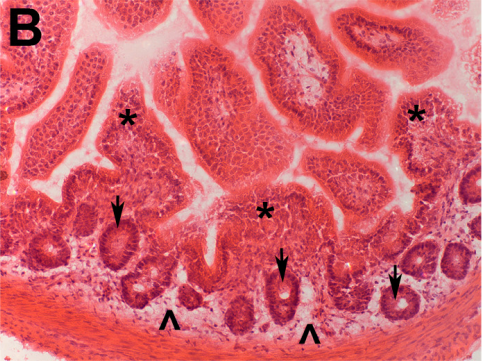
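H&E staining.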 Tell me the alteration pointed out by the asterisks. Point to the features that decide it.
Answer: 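The marked villi are short and broad. Their tips are rounded and club-like rather than slender and finger-like.
Conclusion: Shortened and blunted villi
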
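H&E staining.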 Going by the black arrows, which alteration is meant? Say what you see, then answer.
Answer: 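Intestinal crypt architectural distortion. The marked crypts appear as separate round rings with open lumens. The crypts are irregularly spaced and separated by pale loose tissue.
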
